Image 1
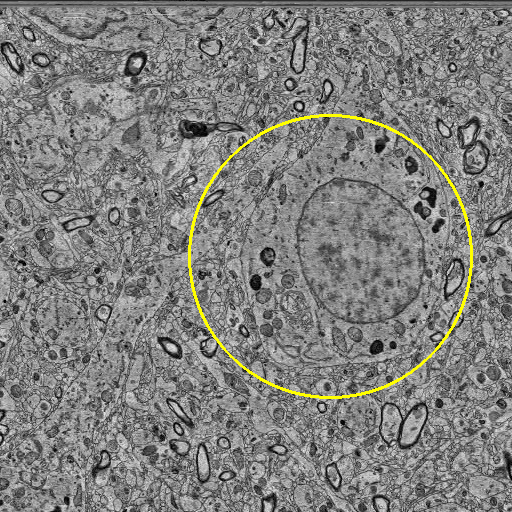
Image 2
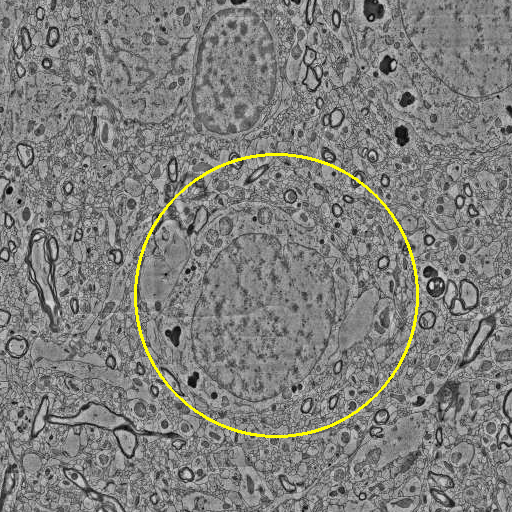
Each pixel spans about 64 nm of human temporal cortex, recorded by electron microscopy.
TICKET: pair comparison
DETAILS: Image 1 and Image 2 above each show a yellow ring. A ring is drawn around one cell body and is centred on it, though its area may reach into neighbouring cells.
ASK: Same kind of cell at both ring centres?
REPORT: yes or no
yes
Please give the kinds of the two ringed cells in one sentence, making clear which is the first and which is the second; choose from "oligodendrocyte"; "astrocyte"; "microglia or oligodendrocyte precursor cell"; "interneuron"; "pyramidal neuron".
In both pictures the ring is centred on a pyramidal neuron.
